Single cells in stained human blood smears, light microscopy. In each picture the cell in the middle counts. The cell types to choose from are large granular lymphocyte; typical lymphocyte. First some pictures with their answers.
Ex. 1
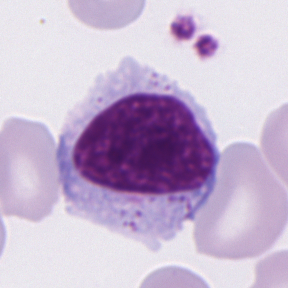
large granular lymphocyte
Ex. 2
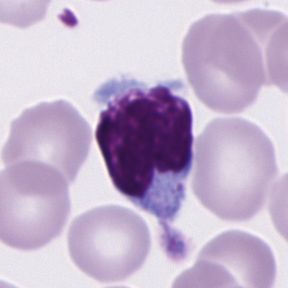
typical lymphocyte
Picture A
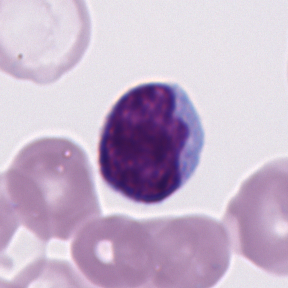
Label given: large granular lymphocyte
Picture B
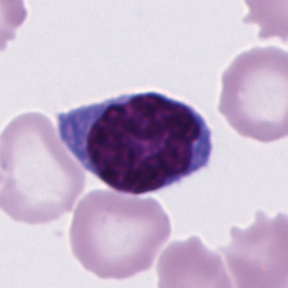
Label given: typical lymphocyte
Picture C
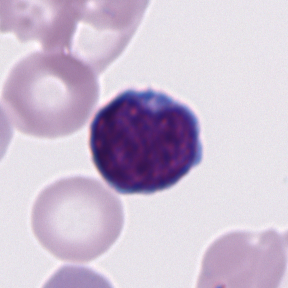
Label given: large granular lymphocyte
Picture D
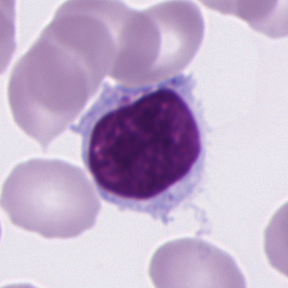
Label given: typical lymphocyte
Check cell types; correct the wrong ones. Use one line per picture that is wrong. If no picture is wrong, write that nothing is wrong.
A: typical lymphocyte, not large granular lymphocyte
C: typical lymphocyte, not large granular lymphocyte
